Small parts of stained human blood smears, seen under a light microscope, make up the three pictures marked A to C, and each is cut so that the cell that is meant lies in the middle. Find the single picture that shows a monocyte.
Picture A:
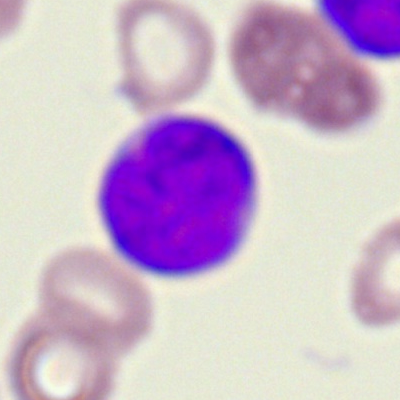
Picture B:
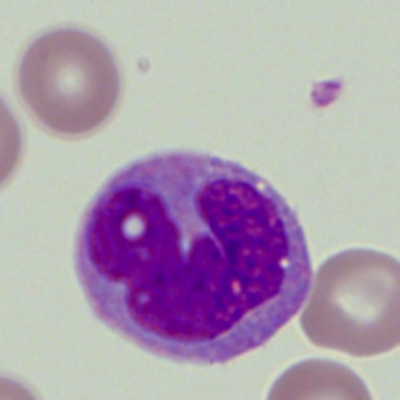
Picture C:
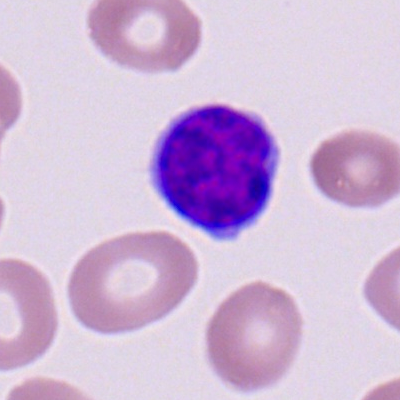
B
